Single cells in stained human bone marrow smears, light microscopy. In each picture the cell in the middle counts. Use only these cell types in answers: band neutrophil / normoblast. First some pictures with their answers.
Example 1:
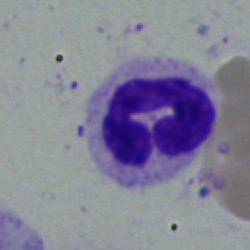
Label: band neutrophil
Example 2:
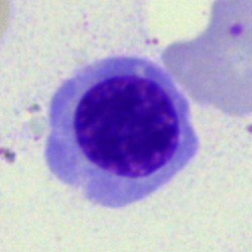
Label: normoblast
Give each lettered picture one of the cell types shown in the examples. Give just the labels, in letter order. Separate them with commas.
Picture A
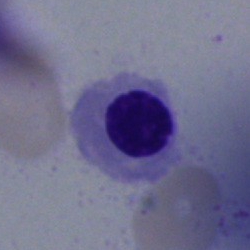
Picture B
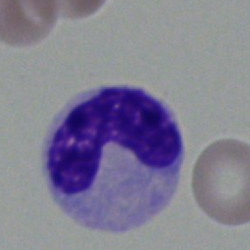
normoblast, band neutrophil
